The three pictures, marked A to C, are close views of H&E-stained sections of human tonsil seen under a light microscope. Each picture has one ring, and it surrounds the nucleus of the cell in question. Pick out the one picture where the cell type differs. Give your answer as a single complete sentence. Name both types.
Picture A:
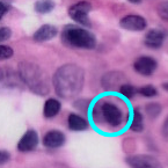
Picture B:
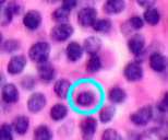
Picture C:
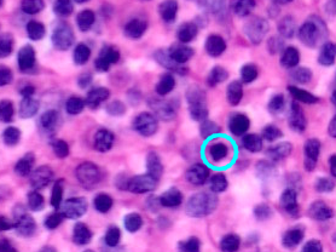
All pictures except A show small lymphocytes; picture A shows an endothelial cell.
